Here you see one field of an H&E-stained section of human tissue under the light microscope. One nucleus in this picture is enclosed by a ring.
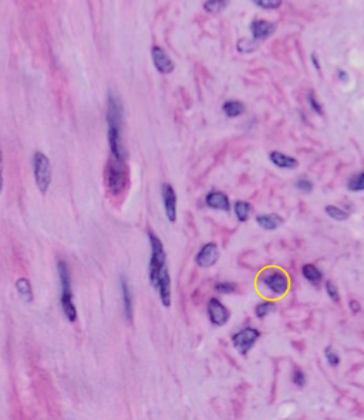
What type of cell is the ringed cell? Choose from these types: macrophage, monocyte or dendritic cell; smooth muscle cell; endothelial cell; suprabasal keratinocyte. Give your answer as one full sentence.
In this preparation, the ringed cell is a smooth muscle cell.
